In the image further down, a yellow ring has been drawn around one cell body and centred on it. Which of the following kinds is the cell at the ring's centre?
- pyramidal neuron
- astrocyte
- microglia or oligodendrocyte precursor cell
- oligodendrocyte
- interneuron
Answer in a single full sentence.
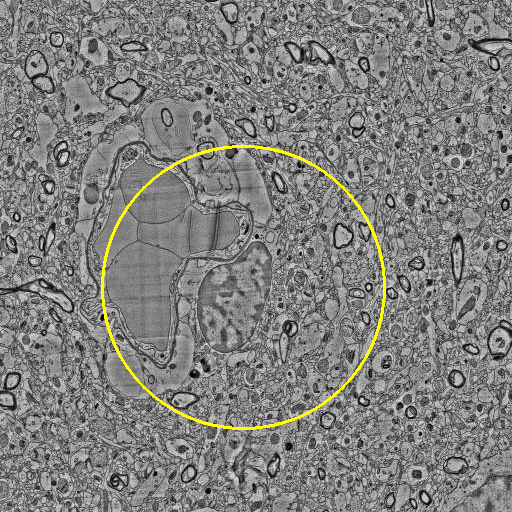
In the picture, the cell sitting at the centre of the yellow ring is a microglial cell or oligodendrocyte precursor cell.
